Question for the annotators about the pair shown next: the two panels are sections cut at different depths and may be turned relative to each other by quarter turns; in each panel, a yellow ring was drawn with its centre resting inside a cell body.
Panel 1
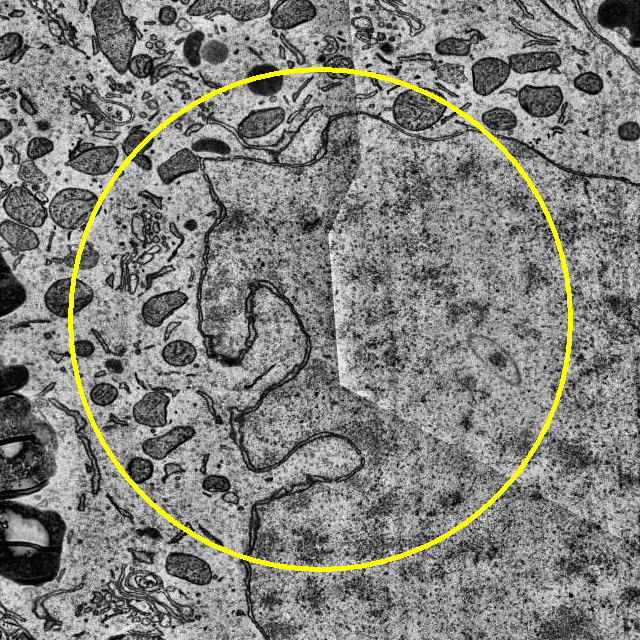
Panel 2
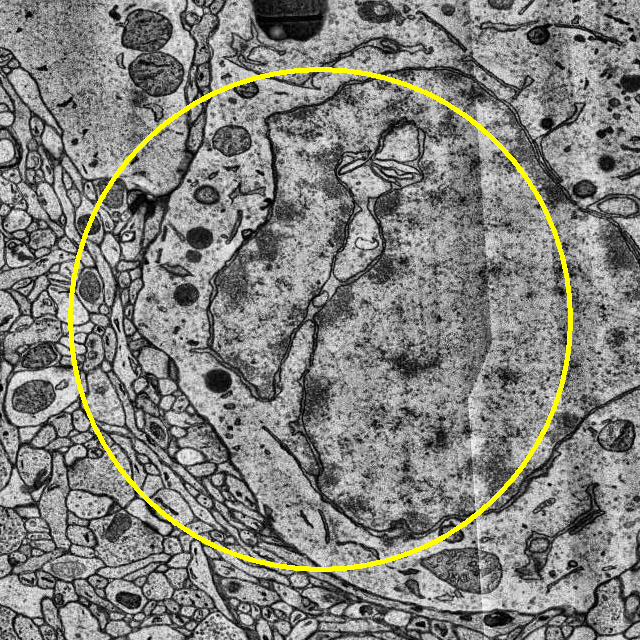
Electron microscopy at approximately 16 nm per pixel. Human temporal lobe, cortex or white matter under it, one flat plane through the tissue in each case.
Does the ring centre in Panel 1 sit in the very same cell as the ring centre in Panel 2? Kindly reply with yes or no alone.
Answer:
no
